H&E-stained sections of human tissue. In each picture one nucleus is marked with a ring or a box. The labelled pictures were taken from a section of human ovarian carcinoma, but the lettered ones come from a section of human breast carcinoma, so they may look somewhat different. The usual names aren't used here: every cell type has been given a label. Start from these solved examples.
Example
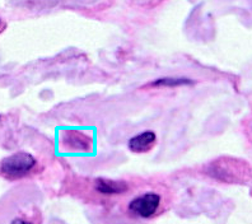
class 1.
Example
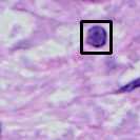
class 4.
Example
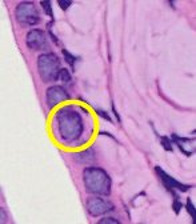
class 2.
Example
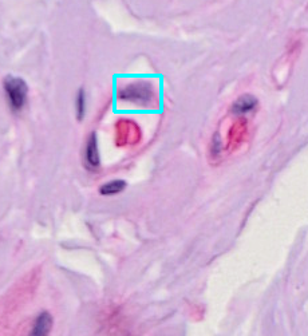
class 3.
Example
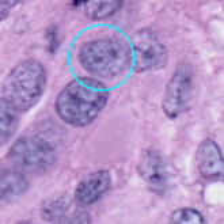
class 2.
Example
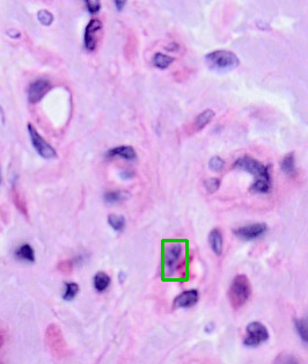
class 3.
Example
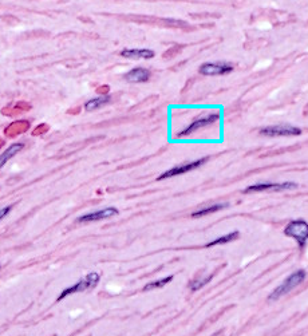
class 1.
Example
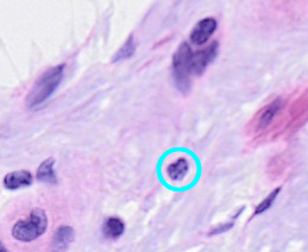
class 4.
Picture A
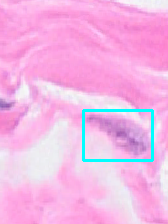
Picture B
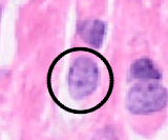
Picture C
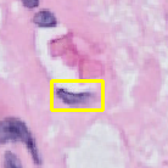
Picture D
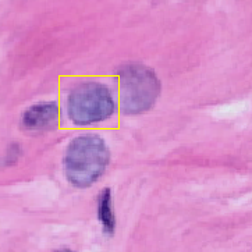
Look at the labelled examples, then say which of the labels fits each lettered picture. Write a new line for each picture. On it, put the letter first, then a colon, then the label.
A: class 1.
B: class 2.
C: class 3.
D: class 2.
